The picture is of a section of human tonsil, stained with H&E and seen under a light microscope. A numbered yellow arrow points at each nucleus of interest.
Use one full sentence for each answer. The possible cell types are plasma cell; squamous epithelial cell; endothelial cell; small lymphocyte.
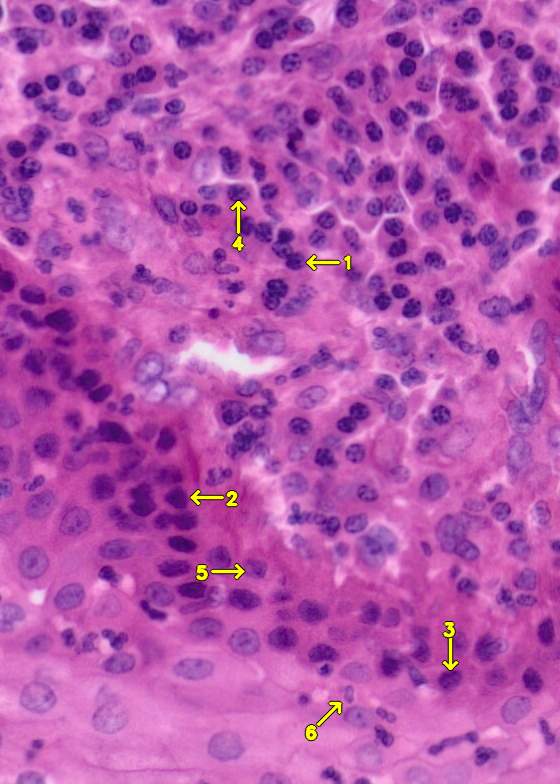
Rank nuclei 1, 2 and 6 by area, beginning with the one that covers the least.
Smallest first, the nuclei run 6, 1, 2.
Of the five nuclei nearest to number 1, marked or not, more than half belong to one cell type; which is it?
Plasma cells make up most of the five nuclei closest to number 1.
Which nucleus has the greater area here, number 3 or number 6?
Number 3 is larger; its area is about 2 times that of number 6.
